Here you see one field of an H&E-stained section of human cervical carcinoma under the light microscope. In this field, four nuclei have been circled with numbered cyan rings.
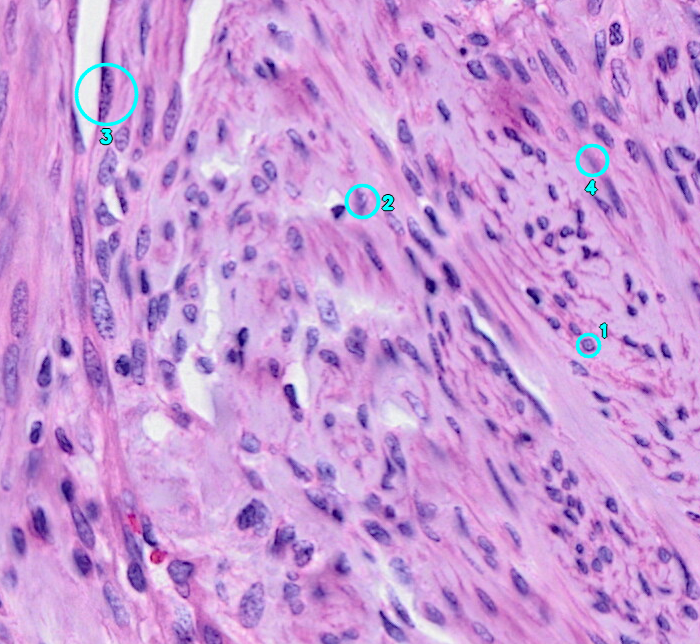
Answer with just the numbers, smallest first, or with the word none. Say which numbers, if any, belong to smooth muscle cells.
1, 2, 4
